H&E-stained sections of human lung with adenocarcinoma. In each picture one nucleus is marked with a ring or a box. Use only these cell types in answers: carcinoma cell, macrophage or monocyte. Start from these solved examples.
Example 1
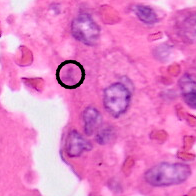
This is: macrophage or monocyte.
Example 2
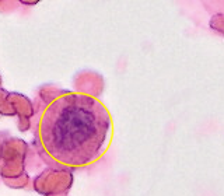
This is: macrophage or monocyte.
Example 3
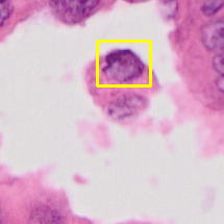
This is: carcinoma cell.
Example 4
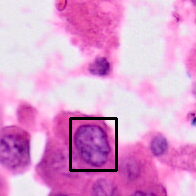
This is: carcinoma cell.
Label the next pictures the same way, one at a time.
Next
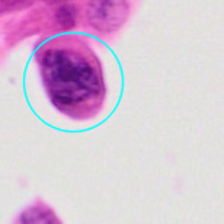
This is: carcinoma cell.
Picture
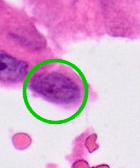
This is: carcinoma cell.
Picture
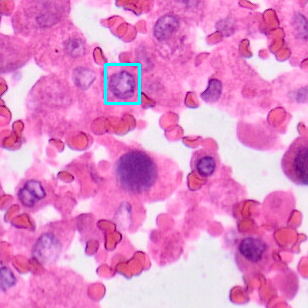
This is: macrophage or monocyte.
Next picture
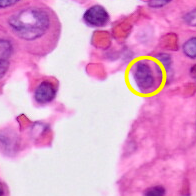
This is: macrophage or monocyte.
